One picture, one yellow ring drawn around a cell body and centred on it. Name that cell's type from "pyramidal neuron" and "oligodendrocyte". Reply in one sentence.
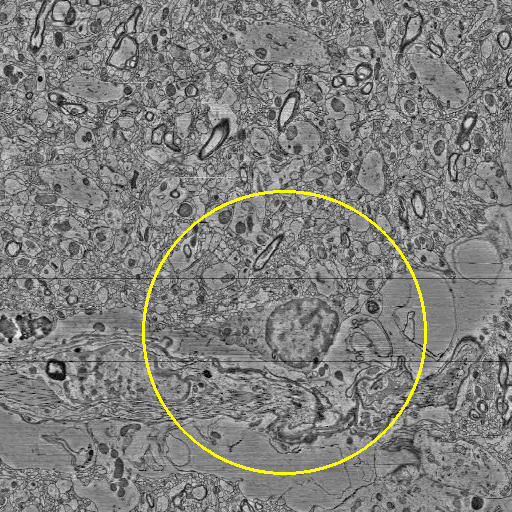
Centred in the ring is an oligodendrocyte.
